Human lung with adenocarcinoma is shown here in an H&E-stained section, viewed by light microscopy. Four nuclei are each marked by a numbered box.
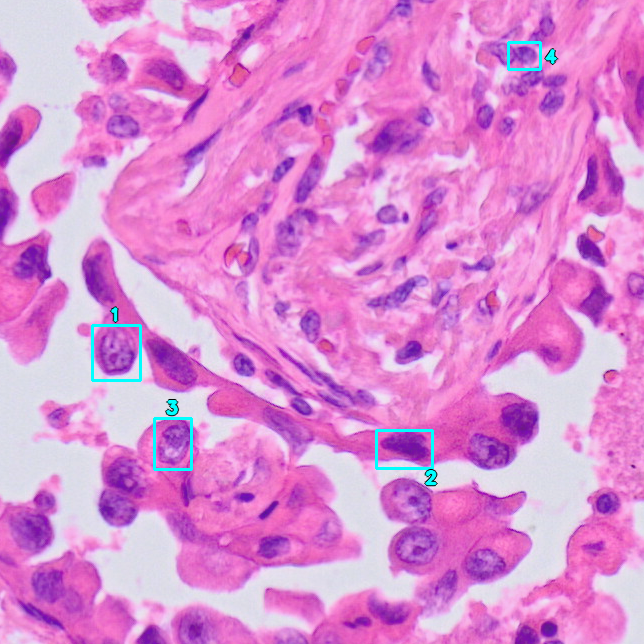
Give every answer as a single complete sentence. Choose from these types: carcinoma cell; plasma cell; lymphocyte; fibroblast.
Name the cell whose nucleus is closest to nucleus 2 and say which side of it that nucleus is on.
A carcinoma cell lies closest, below nucleus 2.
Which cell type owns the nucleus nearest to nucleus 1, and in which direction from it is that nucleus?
A carcinoma cell lies closest, to the right of nucleus 1.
